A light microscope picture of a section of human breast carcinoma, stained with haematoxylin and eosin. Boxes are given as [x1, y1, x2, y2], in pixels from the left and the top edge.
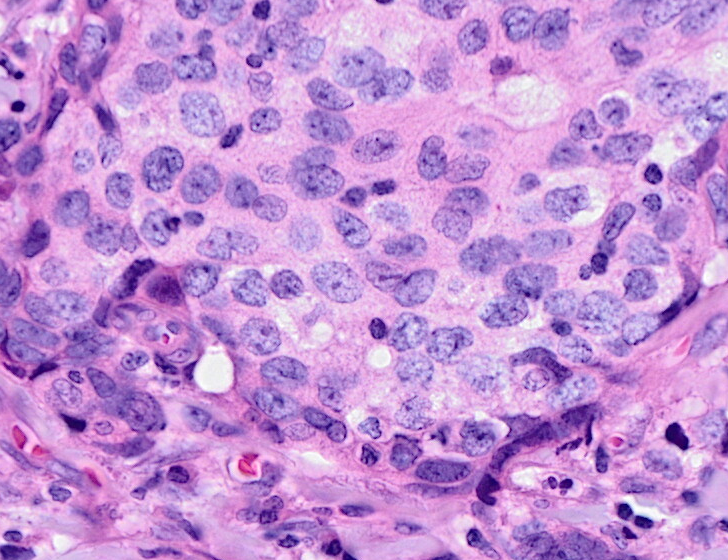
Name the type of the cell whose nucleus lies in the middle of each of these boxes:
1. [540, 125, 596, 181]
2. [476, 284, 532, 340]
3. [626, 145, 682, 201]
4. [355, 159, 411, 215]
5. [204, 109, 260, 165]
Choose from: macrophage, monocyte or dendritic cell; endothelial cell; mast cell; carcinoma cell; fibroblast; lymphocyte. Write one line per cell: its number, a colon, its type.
1: carcinoma cell
2: carcinoma cell
3: lymphocyte
4: lymphocyte
5: lymphocyte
